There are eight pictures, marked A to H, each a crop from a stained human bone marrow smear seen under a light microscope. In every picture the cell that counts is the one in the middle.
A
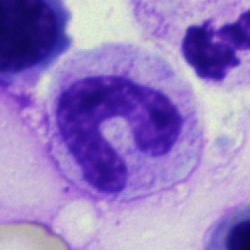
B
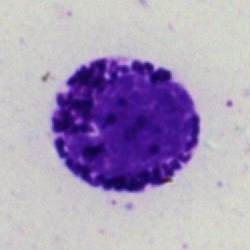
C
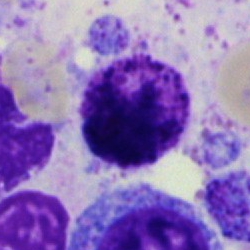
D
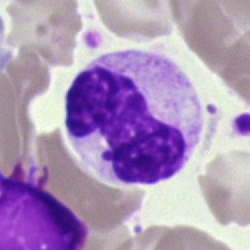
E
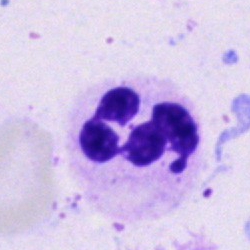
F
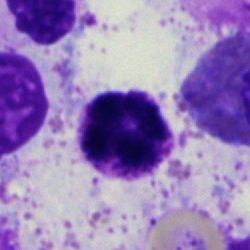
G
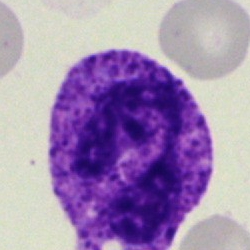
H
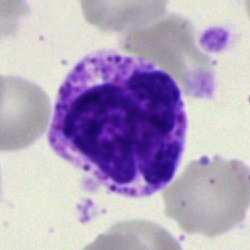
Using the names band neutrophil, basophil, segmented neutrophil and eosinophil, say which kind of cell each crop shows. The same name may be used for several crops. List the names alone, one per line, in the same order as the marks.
band neutrophil
basophil
basophil
segmented neutrophil
segmented neutrophil
basophil
basophil
basophil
